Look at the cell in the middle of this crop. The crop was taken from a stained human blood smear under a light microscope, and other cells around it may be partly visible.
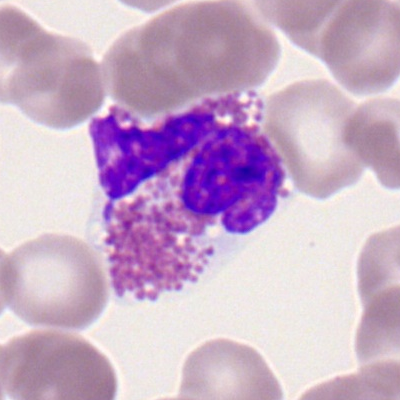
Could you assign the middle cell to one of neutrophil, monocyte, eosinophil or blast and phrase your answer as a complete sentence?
At the crop's centre, the cell is an eosinophil.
